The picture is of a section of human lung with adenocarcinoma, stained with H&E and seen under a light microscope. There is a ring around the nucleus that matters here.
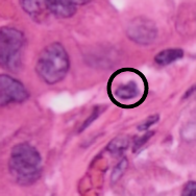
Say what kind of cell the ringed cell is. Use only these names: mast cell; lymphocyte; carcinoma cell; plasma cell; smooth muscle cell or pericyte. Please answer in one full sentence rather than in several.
Speaking plainly, the ringed cell is nothing other than a lymphocyte.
